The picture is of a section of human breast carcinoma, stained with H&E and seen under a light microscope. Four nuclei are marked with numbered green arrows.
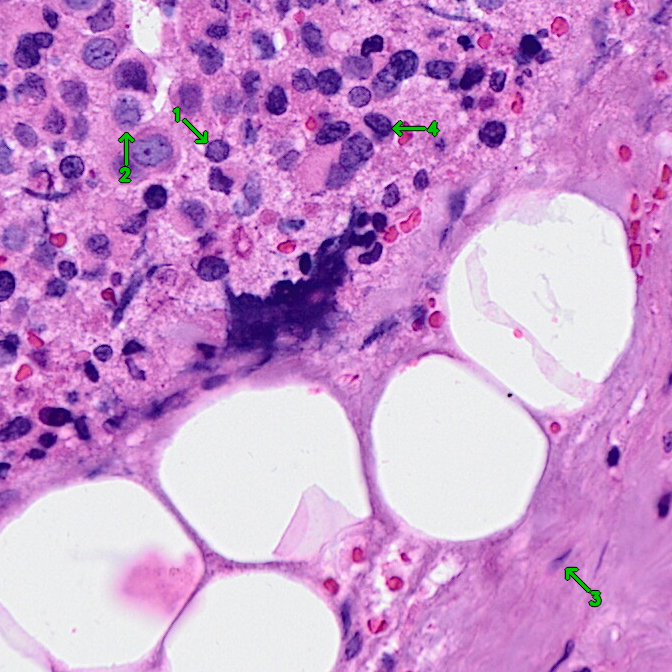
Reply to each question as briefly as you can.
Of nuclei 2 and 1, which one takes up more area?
2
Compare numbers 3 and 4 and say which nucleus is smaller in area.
3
